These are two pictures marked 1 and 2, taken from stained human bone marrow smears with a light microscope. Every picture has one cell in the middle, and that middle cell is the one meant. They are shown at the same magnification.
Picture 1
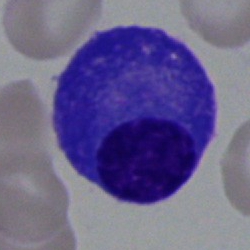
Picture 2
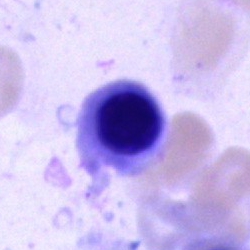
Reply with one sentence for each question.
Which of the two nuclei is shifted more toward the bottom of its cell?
The nucleus in picture 1 lies further toward the bottom of its cell.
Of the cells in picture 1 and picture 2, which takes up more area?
Picture 1 holds the larger cell; it covers about 4 times the area of the cell in picture 2.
